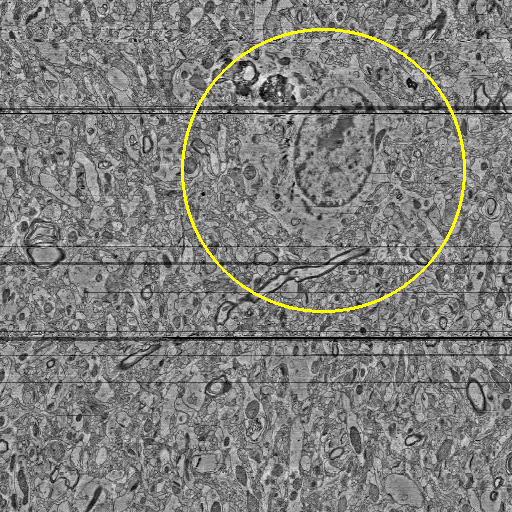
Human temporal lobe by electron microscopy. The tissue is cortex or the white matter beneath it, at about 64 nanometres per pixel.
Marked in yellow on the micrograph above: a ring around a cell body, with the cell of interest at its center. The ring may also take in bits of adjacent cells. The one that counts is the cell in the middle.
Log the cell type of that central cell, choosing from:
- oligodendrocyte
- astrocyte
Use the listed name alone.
astrocyte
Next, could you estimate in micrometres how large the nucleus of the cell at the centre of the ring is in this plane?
The nucleus measures about 8 by 5 micrometres, so it is clearly longer than it is wide in this plane.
